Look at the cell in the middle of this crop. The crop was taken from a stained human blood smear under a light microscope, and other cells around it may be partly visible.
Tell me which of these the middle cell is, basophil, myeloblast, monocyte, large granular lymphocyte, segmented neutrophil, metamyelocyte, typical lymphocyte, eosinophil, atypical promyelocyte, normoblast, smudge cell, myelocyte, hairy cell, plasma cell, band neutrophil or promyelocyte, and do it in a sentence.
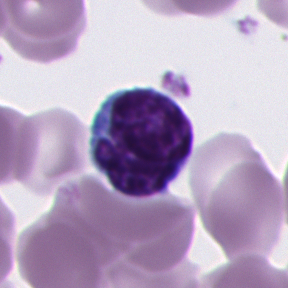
In the center of this field lies a typical lymphocyte.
